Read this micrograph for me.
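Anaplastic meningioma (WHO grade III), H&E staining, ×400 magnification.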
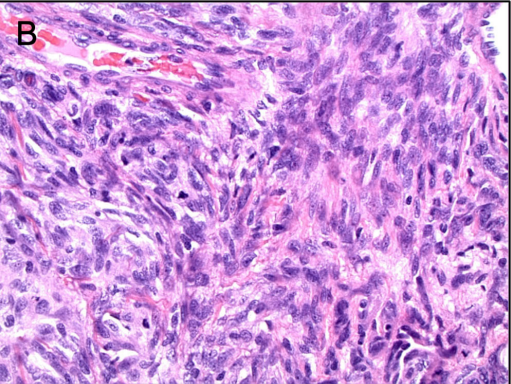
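Tumour of densely packed meningothelial cells in short interlacing fascicles and sheets. Nuclei are enlarged, oval to elongated, hyperchromatic and crowded, with coarse chromatin and some variation in size and shape. The cytoplasm is pale pink with indistinct cell borders. A small vessel containing red blood cells runs across the upper left corner.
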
